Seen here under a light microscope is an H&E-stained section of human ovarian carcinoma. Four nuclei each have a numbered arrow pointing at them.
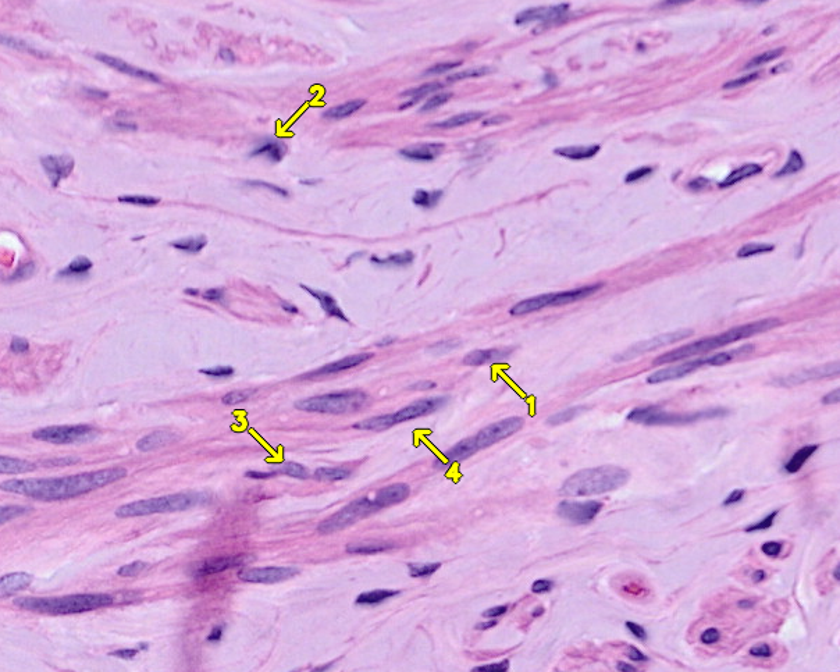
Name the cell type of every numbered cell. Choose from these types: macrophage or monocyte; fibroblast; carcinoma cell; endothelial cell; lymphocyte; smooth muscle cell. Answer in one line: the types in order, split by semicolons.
smooth muscle cell; fibroblast; smooth muscle cell; smooth muscle cell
